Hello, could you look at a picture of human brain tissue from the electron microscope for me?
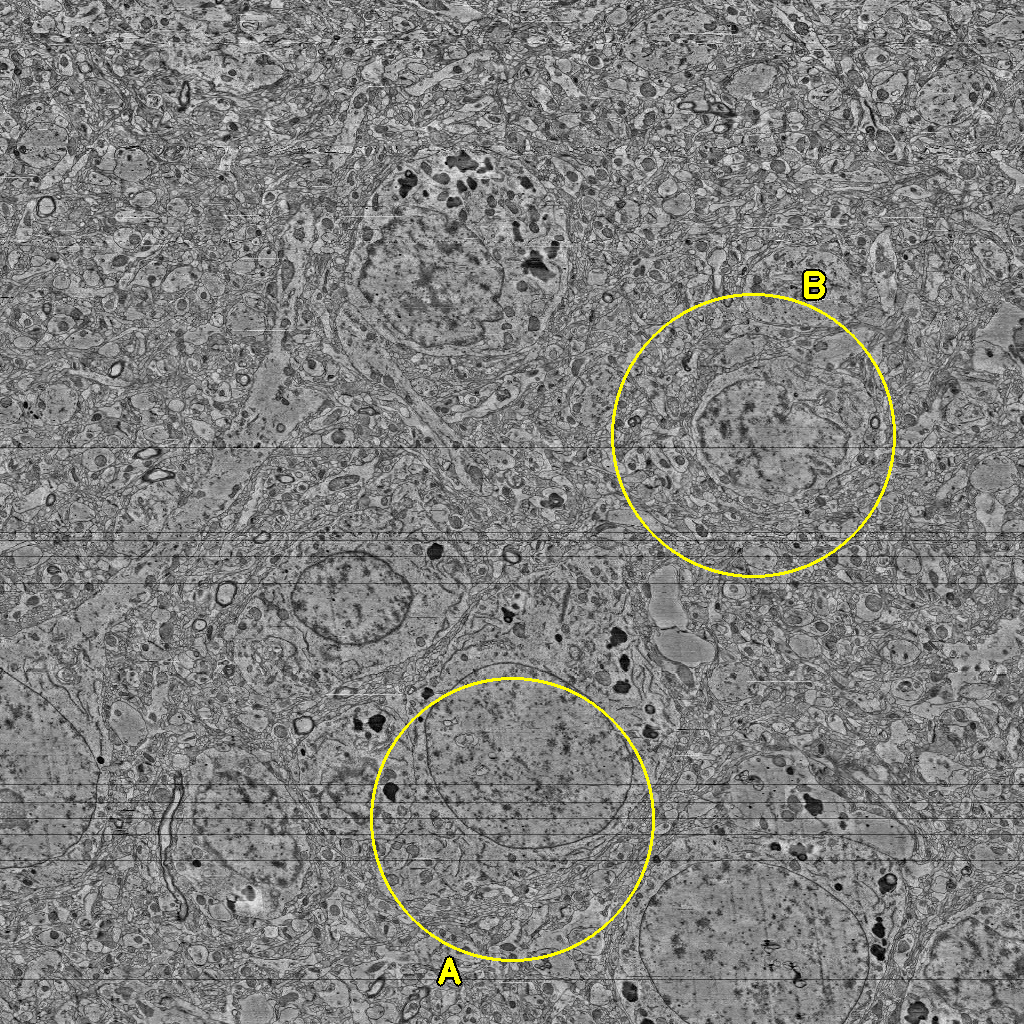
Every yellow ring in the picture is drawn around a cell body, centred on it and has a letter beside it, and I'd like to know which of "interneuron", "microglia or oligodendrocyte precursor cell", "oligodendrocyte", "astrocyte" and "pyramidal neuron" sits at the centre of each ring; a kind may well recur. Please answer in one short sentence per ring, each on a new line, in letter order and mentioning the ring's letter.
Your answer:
The cell sitting at the centre of ring A is a pyramidal neuron.
The cell sitting at the centre of ring B is an interneuron.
